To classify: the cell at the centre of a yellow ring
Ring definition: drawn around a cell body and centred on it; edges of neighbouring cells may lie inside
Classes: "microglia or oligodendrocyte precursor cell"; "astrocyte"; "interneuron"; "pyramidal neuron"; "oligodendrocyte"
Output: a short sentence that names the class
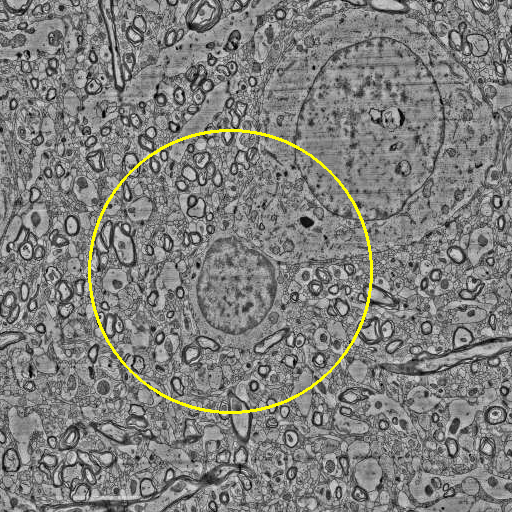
The ringed cell is an oligodendrocyte.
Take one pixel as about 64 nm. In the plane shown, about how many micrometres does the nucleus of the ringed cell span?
Approximately 6 x 5 micrometres in this plane.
